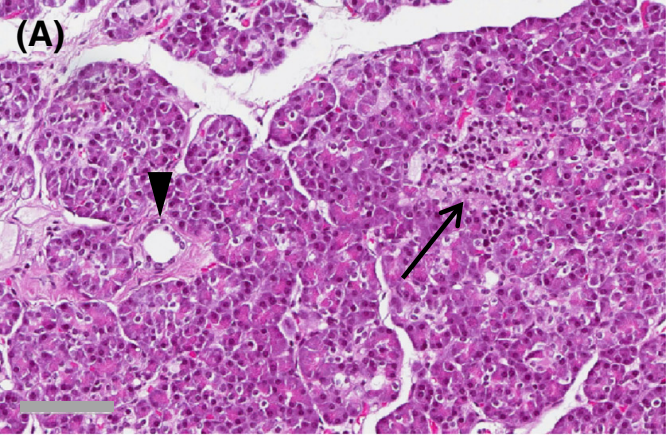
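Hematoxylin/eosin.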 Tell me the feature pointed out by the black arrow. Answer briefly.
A: Islet of Langerhans.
